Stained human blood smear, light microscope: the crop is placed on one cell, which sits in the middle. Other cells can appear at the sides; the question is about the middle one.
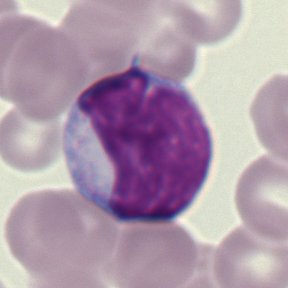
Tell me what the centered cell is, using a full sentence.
The middle of this crop is occupied by a large granular lymphocyte.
